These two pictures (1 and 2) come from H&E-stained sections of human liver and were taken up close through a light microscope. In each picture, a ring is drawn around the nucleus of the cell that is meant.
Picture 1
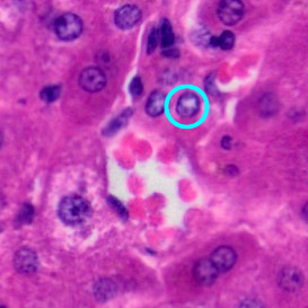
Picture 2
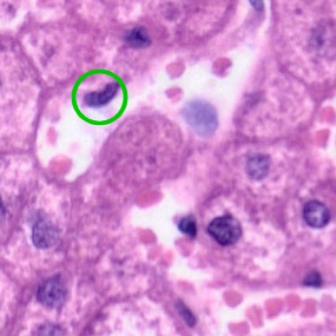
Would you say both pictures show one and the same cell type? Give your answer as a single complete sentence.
No. Picture 1 shows a cholangiocyte, but picture 2 shows a Kupffer cell.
